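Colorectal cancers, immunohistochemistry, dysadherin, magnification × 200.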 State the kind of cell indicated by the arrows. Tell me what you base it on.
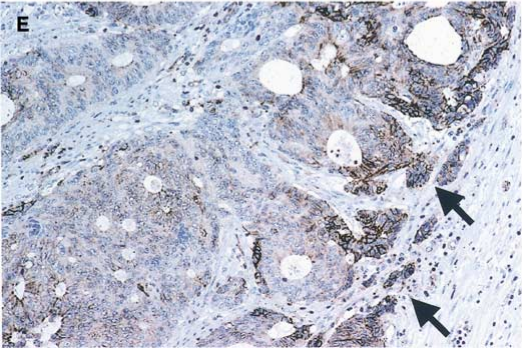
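The arrows point to small clusters of atypical epithelial cells lying separately in the stroma at the tumour edge. These clusters are outlined by brown membranous stain. That points to this answer: infiltrative tumour cells.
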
